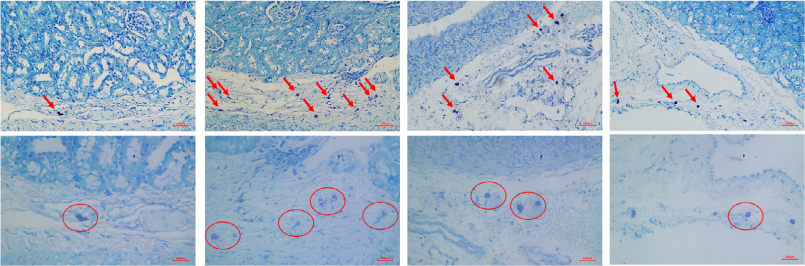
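These sections show kidney tissue, pale blue with tubules and glomeruli, next to a band of loose connective tissue. Within the connective tissue lie scattered single mast cells, which stand out as small, dark purple cells. Red arrows mark them at lower magnification and red circles mark them at higher magnification. Their number differs between the images.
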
